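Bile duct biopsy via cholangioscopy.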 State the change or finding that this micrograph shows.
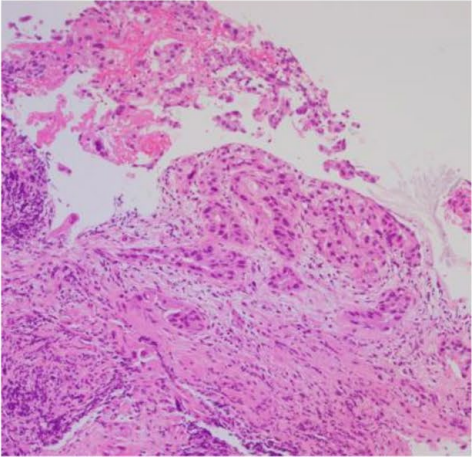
Proliferation of atypical epithelial cells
